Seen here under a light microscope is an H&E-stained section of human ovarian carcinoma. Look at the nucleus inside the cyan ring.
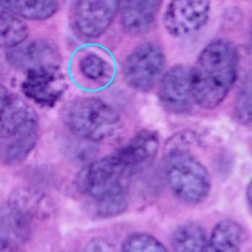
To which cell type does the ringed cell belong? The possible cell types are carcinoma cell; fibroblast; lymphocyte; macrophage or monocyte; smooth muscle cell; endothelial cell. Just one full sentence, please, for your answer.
For the purposes of cell typing, the ringed cell is categorized as a macrophage or monocyte.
